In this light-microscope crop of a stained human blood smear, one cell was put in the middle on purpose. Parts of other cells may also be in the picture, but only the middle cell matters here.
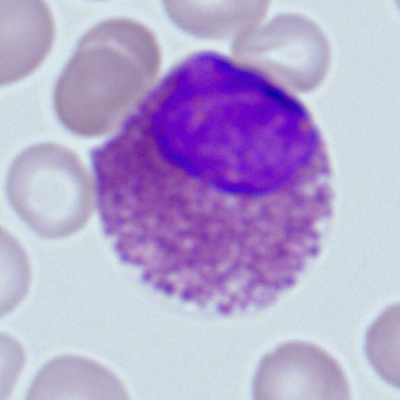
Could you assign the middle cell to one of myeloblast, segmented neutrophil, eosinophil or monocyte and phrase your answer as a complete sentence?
Where the crop is centred, there is an eosinophil.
